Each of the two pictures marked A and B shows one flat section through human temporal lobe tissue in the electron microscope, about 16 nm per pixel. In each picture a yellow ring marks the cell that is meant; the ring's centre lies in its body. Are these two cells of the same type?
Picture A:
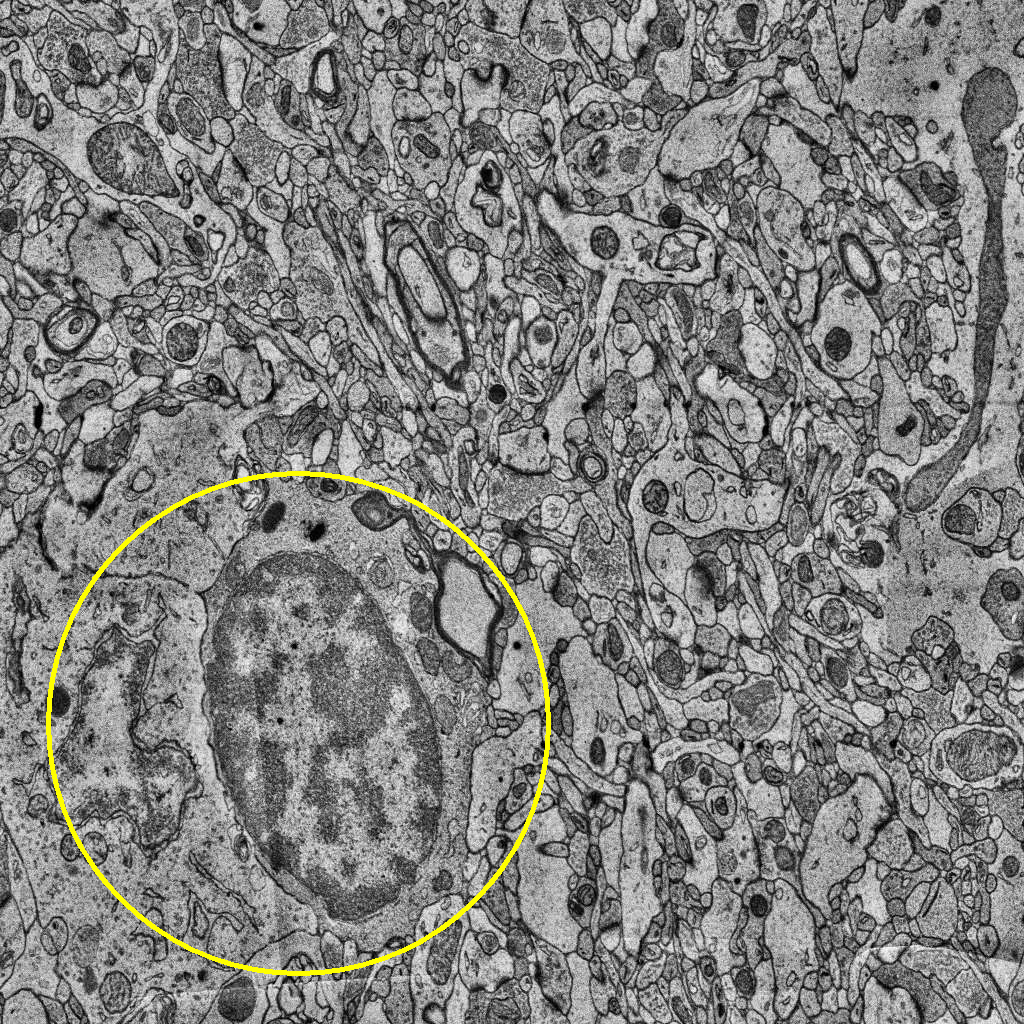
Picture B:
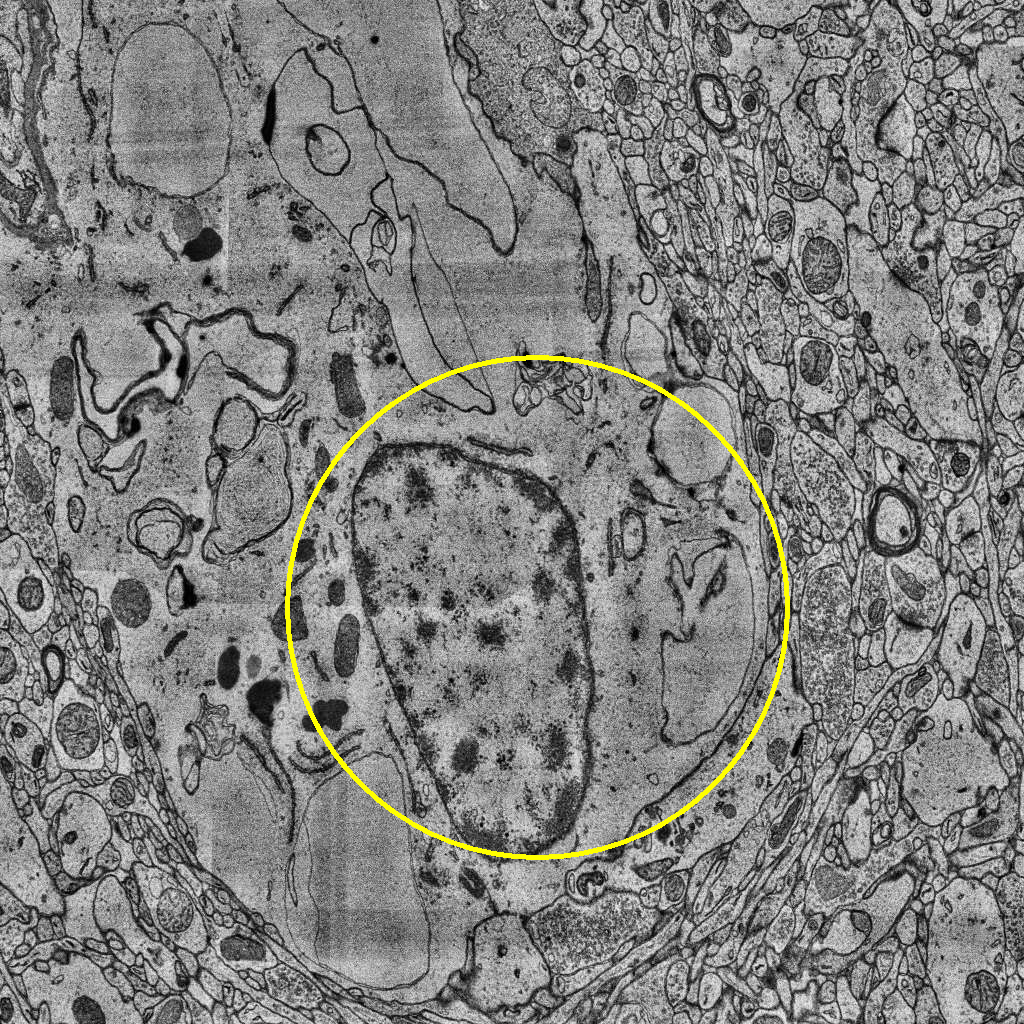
No; the cell in picture A is an oligodendrocyte, while the one in picture B is an astrocyte.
